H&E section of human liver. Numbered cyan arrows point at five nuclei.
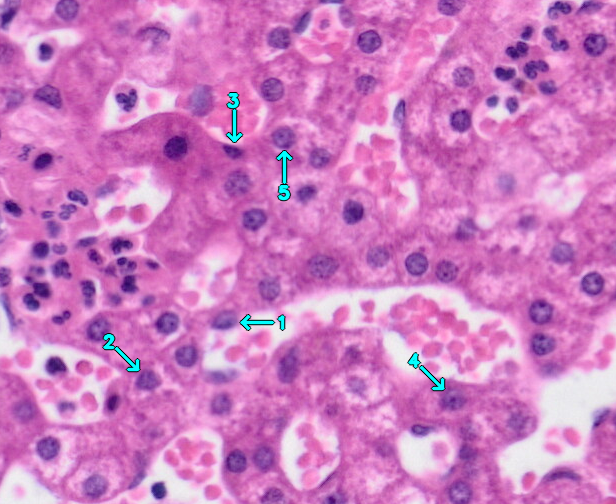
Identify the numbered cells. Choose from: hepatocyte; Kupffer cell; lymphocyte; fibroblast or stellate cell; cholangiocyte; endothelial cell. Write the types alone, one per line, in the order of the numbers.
Kupffer cell
hepatocyte
fibroblast or stellate cell
hepatocyte
hepatocyte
